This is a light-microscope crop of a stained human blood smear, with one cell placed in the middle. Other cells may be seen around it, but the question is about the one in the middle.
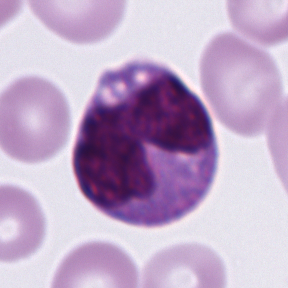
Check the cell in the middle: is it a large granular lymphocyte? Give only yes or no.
no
